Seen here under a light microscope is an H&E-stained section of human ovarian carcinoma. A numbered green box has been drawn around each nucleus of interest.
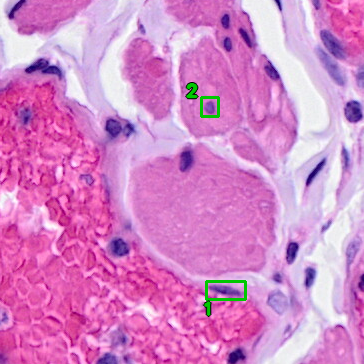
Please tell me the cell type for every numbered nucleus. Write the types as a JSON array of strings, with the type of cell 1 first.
["endothelial cell", "smooth muscle cell"]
